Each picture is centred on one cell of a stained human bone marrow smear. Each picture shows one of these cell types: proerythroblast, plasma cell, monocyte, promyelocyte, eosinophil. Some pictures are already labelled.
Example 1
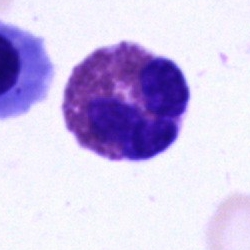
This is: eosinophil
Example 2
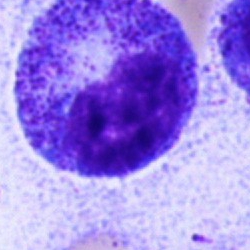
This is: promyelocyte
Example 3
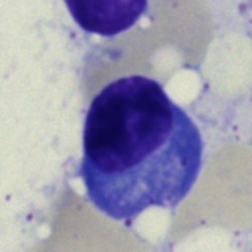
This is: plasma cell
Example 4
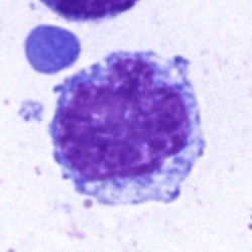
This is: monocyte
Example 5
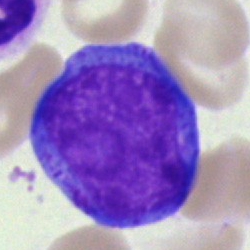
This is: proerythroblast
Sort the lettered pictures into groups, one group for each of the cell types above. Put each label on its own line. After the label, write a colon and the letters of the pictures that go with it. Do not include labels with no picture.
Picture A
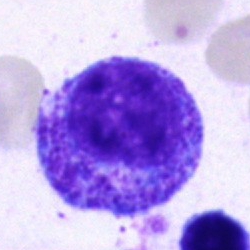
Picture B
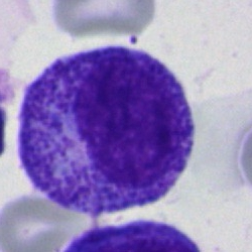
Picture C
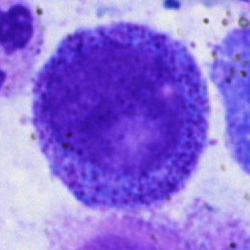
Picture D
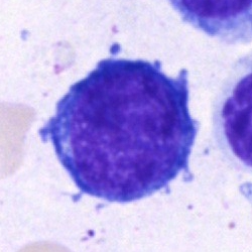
proerythroblast: D
promyelocyte: A, B, C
